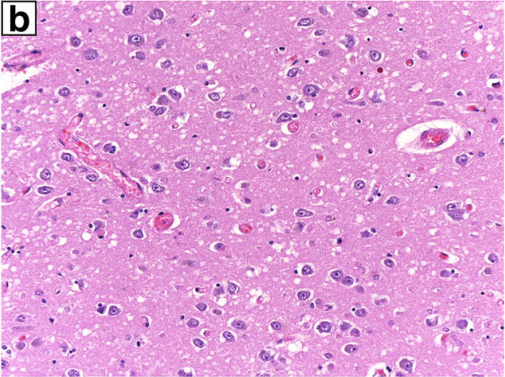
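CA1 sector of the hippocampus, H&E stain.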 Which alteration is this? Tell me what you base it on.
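Spongiform change. Many small round clear vacuoles scattered through the pink neuropil. Vacuoles lie among neuronal cell bodies with round nuclei.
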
